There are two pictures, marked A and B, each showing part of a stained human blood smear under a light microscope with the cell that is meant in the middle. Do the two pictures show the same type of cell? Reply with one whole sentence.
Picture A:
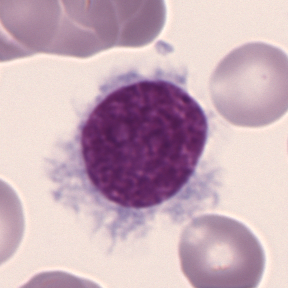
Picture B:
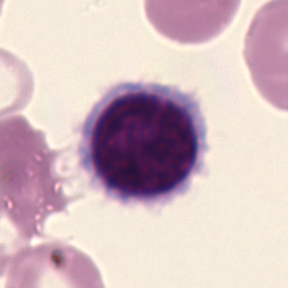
Yes, they are the same type: both are hairy cells.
